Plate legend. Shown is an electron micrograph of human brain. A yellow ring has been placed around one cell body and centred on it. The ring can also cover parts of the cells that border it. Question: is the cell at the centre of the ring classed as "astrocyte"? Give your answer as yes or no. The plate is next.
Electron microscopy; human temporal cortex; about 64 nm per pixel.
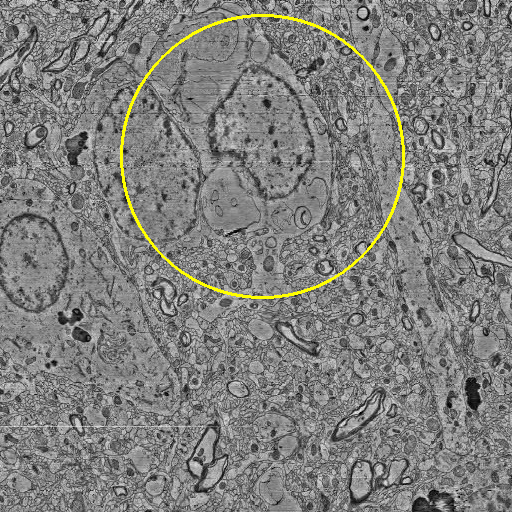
Yes, the ringed cell is of that kind.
